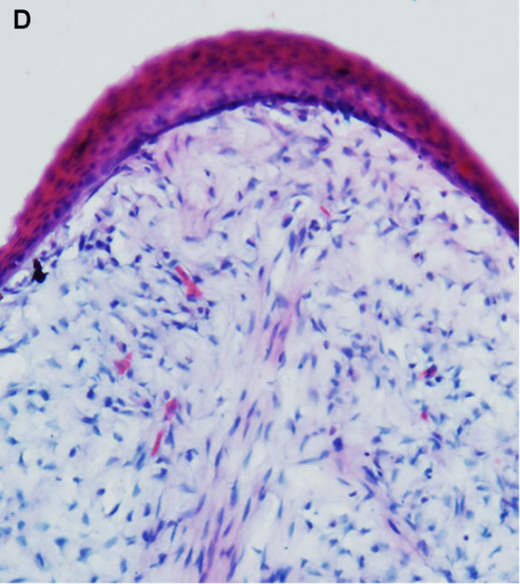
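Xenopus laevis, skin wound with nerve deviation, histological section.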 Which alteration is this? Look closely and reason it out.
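The epithelium at the apex is many cell layers thick. It stains deep pink-magenta with densely packed dark nuclei. It is much thicker than the underlying thin basal line. That points to this answer: thickened.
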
